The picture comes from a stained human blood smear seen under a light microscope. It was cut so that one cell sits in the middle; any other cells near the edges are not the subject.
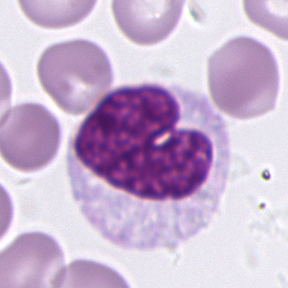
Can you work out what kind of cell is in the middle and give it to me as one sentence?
Whatever else lies nearby, the middle cell is a band neutrophil.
